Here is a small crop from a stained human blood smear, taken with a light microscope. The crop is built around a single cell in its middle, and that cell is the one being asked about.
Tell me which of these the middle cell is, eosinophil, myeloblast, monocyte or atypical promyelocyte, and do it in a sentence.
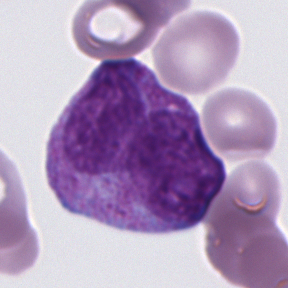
In this crop, the cell at the very middle is an atypical promyelocyte.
